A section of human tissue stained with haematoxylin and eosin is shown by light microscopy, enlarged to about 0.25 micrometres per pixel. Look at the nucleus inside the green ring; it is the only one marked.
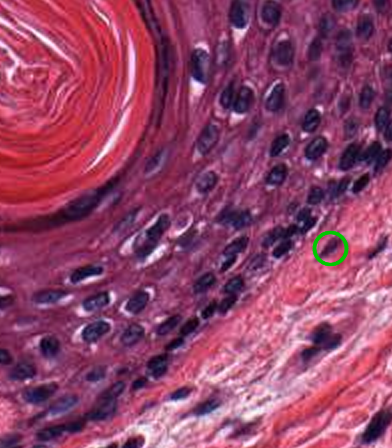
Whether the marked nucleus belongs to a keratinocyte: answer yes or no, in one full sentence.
No, the marked nucleus is contained in a supporting cell and not in a keratinocyte.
